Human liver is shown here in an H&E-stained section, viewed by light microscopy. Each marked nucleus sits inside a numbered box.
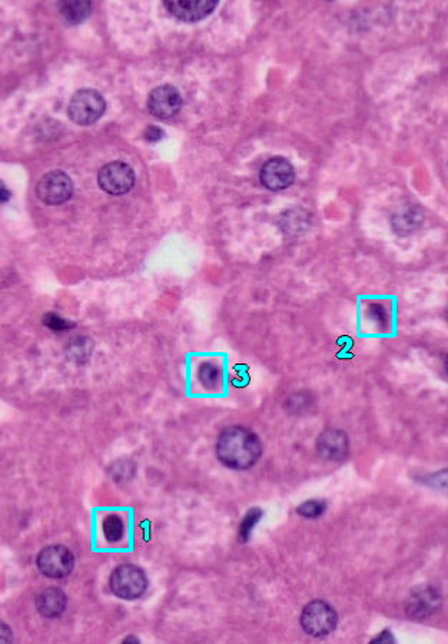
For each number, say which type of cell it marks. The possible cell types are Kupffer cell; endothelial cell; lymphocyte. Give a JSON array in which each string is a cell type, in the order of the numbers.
["lymphocyte", "endothelial cell", "lymphocyte"]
